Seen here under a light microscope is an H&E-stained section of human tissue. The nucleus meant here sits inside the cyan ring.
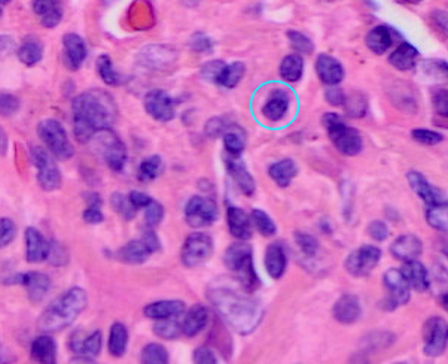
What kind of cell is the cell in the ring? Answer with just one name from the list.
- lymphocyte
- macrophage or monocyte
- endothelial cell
lymphocyte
